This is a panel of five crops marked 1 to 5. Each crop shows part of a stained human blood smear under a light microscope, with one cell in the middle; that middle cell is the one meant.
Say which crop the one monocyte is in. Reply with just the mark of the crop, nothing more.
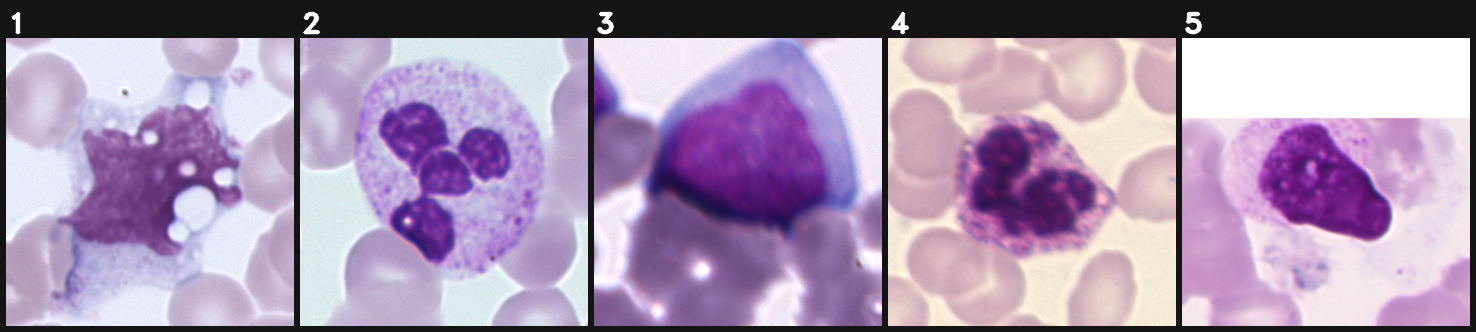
1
